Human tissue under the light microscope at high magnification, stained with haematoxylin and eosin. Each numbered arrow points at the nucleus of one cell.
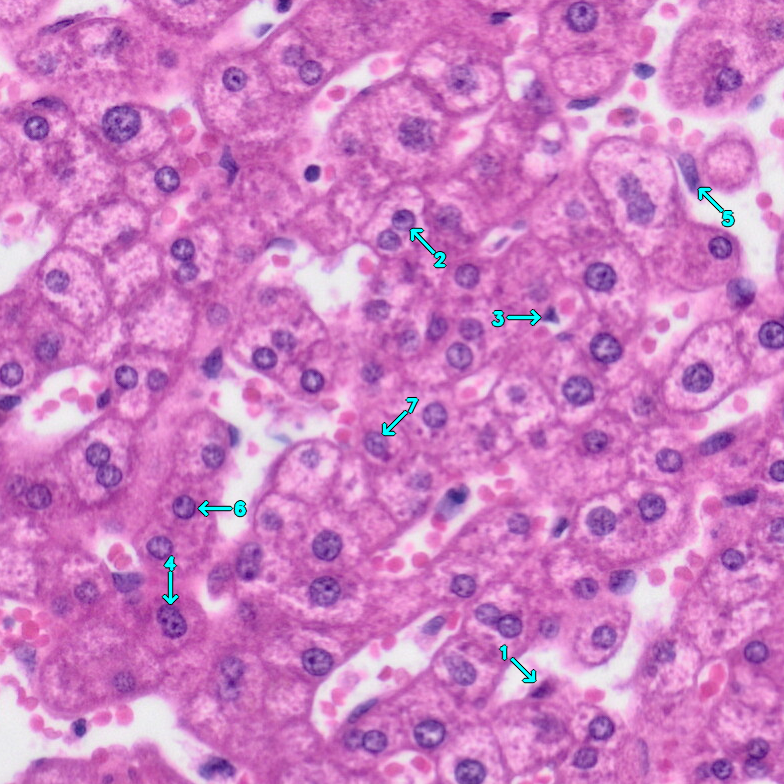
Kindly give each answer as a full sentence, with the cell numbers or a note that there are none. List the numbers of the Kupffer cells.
When it comes to cells 1 and 5, they are Kupffer cells.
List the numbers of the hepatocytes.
Marked by the numbers 2, 4, 6 and 7 are cells that are hepatocytes.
